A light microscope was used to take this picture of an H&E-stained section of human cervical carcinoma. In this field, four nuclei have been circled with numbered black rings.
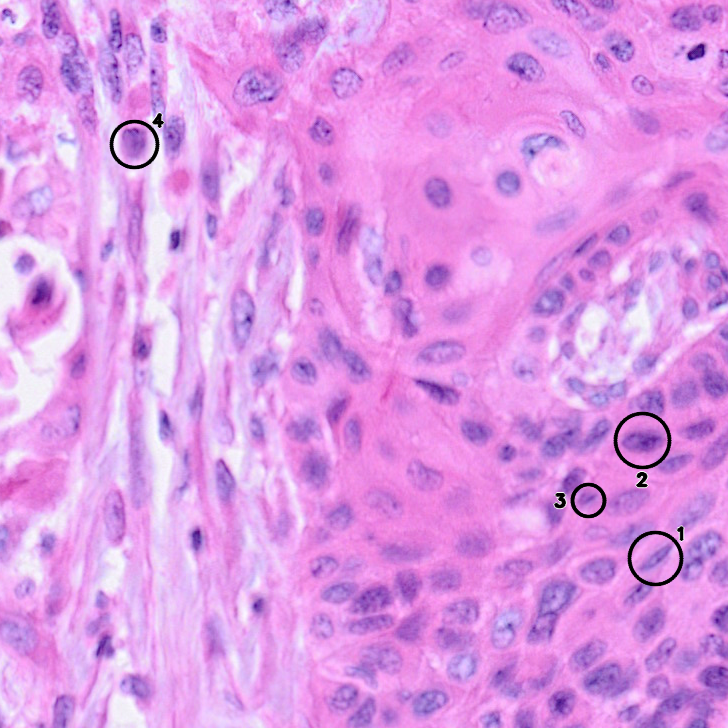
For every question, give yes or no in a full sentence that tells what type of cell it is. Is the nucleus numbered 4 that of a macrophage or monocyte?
Yes, number 4 is assigned to a cell that is a macrophage or monocyte.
